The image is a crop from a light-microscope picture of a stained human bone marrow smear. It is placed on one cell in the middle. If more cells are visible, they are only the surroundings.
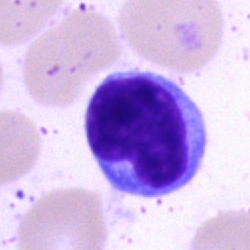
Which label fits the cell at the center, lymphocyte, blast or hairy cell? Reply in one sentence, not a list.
By classification, the middle cell of this crop is a lymphocyte.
